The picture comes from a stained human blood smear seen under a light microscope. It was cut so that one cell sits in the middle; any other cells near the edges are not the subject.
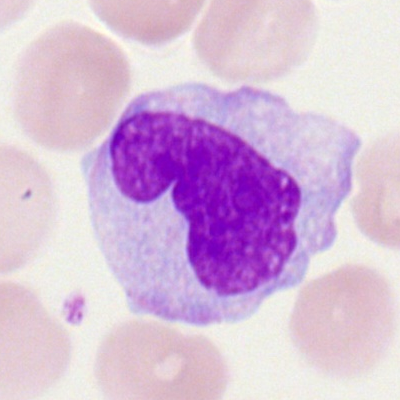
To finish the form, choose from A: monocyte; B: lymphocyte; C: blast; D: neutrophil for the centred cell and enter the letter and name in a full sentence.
Option A holds, for the cell in the middle is a monocyte.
